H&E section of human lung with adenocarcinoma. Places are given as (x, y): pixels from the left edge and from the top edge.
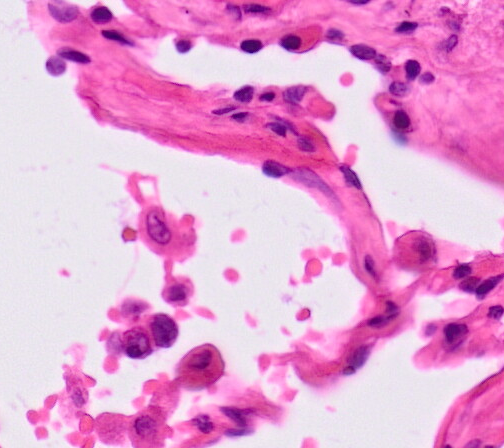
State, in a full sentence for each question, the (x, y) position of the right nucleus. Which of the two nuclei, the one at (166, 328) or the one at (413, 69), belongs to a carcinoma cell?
The nucleus found at (166, 328) belongs to a carcinoma cell.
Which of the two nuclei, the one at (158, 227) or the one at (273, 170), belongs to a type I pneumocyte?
Identify the nucleus at (273, 170) as the one belonging to a type I pneumocyte.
